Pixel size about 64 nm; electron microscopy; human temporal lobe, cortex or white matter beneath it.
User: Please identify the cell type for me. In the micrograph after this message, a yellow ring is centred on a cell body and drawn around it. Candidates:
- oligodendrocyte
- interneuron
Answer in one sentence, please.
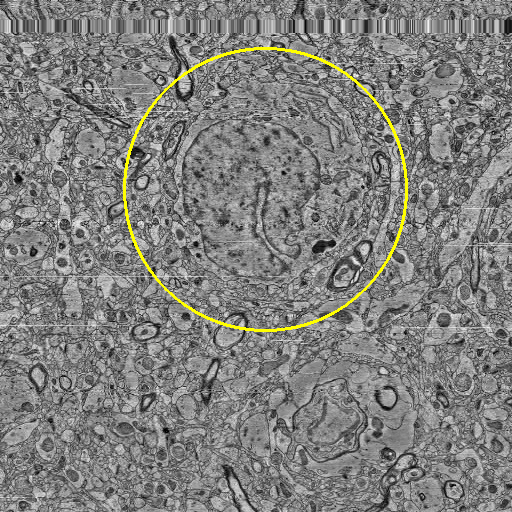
The ring is drawn around the cell body of an interneuron.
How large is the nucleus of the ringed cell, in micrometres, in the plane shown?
In this plane, the nucleus of the cell at the centre of the ring is about 9 micrometres across.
